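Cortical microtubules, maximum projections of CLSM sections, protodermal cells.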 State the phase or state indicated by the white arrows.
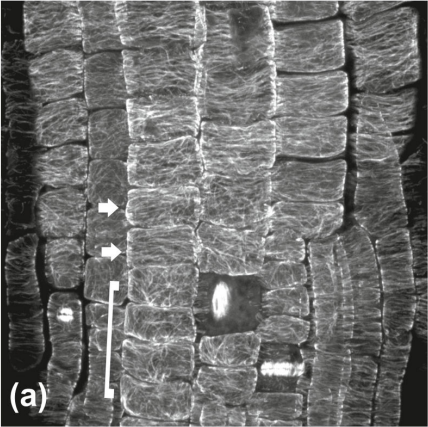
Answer: Transverse.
